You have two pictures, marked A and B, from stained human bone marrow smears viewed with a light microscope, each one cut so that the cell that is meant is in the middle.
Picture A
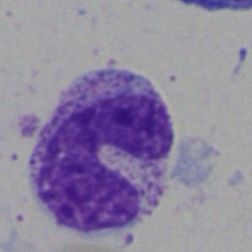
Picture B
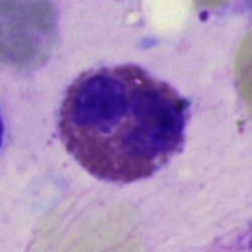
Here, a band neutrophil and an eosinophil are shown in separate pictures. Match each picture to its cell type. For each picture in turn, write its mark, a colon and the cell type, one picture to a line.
A: band neutrophil
B: eosinophil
